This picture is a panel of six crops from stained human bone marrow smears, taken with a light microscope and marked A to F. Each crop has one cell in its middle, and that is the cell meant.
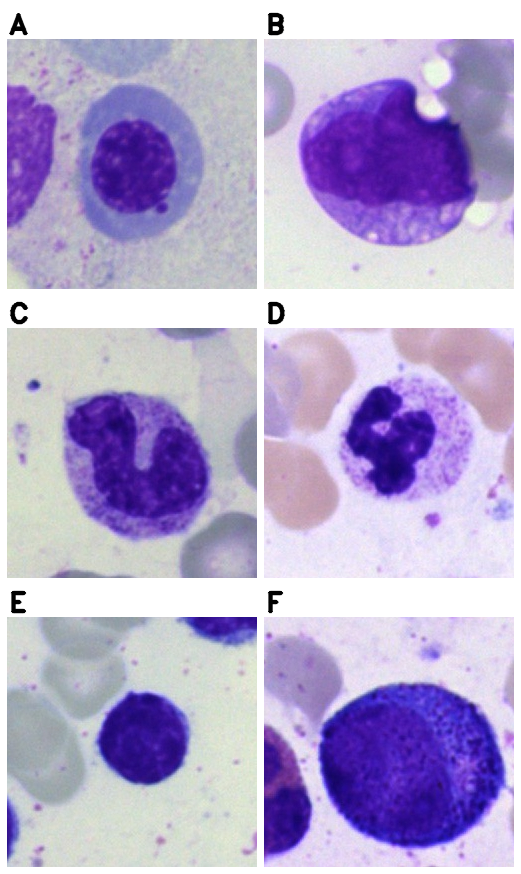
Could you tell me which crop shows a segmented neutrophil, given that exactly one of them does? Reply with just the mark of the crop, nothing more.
D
